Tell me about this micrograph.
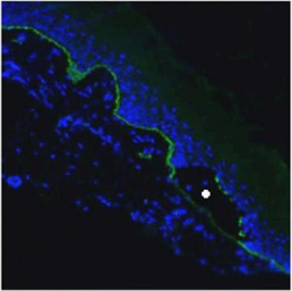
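This is a section of skin: an upper epidermal layer packed with blue nuclei rests on a thin, continuous green line at the junction with the dermis, which holds only scattered nuclei. At one place the epidermis has come away from the tissue beneath, leaving a dark empty cleft, a blister, with the green line running along its edge.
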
